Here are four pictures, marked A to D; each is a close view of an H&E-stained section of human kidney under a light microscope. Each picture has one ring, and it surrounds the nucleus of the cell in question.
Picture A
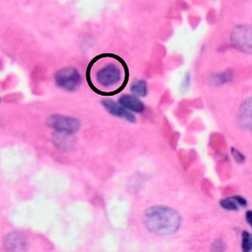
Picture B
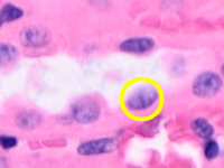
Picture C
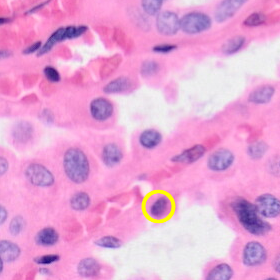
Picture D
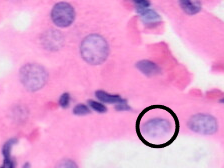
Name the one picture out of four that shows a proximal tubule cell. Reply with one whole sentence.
The proximal tubule cell is the one in picture A.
